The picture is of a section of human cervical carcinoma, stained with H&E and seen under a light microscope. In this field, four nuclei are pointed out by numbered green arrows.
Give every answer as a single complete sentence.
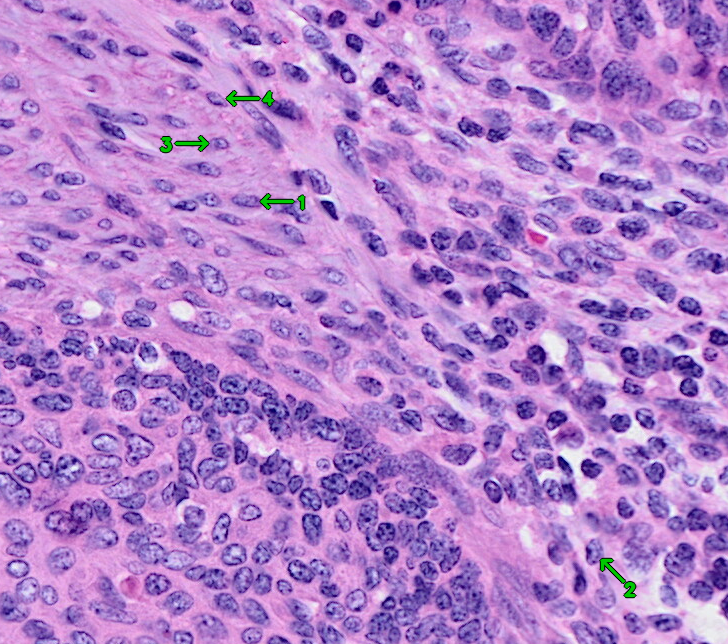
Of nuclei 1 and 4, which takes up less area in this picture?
Number 4 is smaller, since number 1 takes up about 1.5 times as much area.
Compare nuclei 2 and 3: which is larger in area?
Of the two, number 2 is bigger and takes up about 2 times the area of number 3.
